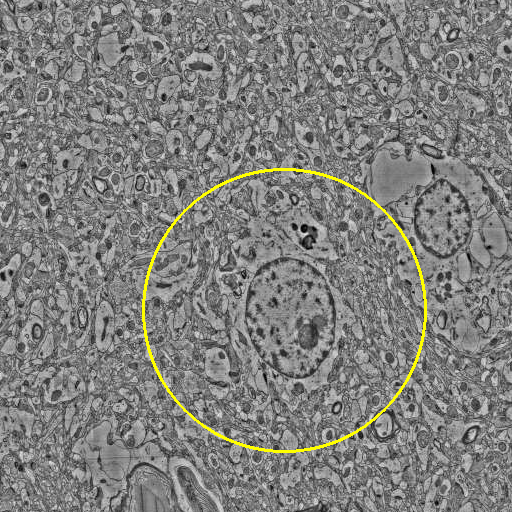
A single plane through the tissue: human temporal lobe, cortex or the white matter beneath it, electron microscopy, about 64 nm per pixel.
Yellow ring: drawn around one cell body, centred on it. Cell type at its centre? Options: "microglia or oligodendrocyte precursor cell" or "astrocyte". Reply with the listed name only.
astrocyte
